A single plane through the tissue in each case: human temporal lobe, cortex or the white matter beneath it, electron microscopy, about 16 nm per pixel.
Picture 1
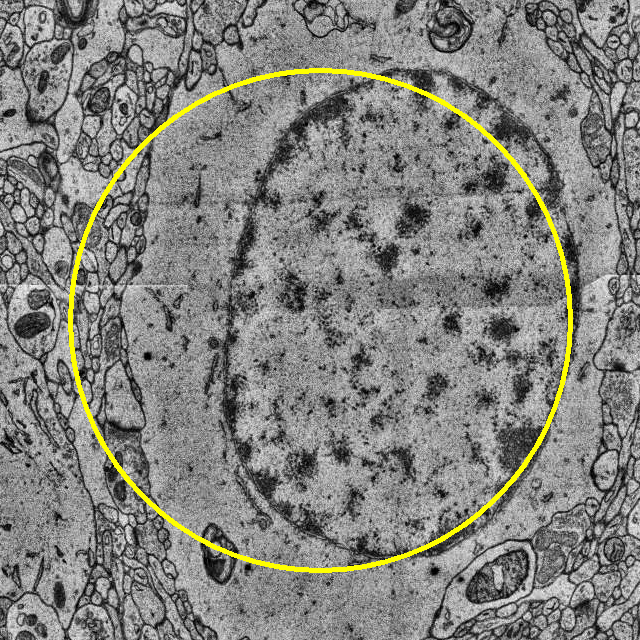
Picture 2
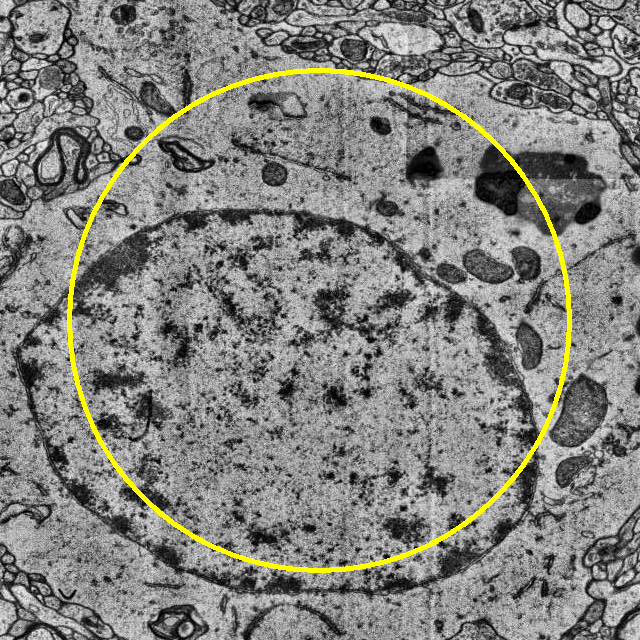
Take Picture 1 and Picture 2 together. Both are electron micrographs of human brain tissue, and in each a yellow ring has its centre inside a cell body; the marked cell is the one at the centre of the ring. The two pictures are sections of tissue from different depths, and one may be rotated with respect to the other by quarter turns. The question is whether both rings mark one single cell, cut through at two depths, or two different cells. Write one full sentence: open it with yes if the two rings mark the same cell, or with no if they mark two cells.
Yes, both yellow rings were placed on the same cell.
